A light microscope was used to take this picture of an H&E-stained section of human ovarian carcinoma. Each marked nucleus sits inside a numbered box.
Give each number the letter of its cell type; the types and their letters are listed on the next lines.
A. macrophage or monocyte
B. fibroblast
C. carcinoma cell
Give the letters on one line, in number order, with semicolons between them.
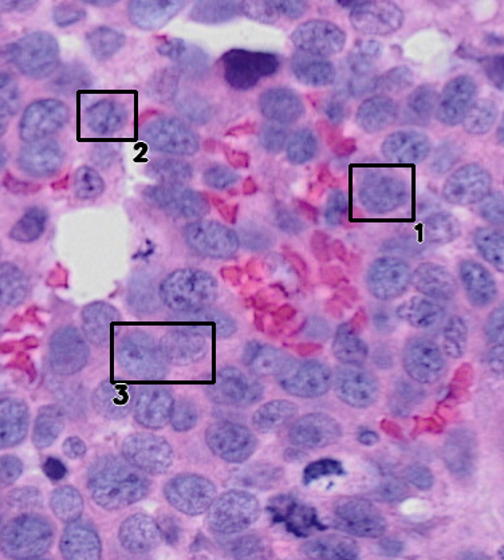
C; A; C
